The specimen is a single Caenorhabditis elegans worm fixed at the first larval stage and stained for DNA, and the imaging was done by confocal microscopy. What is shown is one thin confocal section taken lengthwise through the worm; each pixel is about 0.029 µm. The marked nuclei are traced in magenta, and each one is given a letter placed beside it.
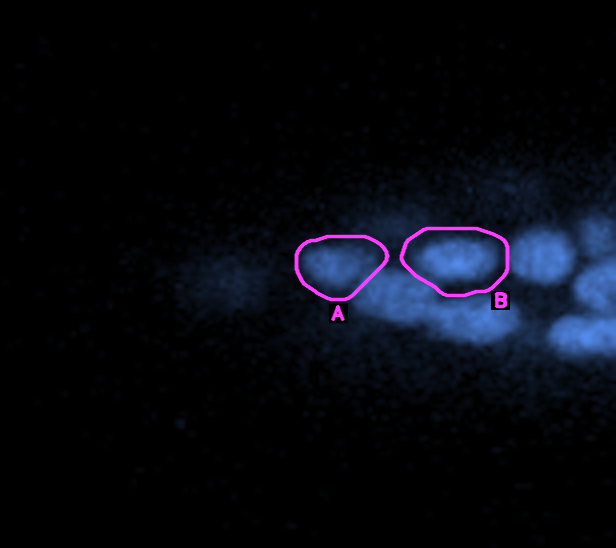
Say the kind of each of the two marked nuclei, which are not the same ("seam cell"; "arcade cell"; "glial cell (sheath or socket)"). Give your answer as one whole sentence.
One is from an arcade cell, namely A, and the other, B, is from a glial cell (sheath or socket).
